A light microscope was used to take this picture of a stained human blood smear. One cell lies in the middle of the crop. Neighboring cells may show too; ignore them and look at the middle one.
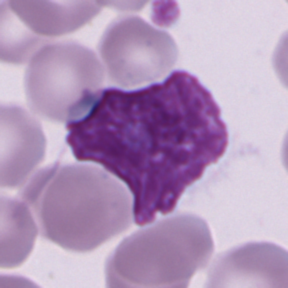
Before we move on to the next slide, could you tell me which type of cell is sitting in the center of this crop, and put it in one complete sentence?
The cell around which this crop is centred is a smudge cell.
